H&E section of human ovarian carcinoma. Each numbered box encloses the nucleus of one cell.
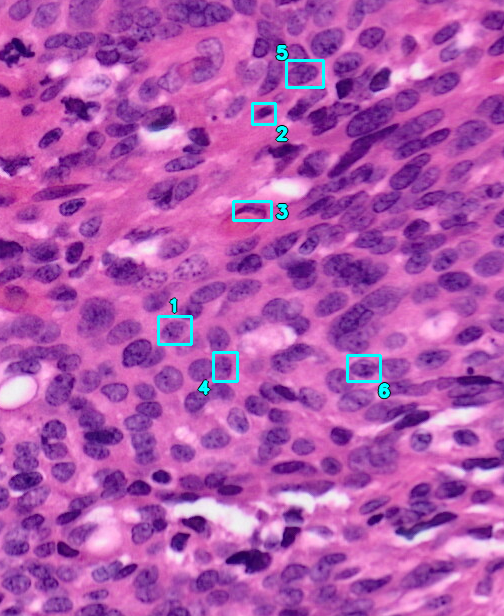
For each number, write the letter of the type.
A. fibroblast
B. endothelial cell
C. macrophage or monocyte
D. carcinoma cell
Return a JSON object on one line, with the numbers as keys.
{"1": "D", "2": "B", "3": "B", "4": "D", "5": "D", "6": "D"}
